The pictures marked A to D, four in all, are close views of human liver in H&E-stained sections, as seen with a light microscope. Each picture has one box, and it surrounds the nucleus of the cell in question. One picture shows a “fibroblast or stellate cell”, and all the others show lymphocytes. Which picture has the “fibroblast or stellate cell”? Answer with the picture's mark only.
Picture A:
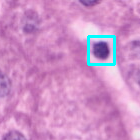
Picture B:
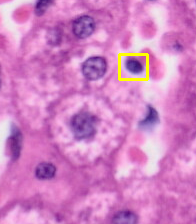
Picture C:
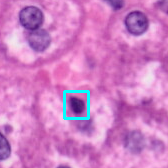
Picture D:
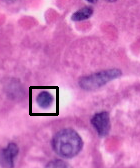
C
